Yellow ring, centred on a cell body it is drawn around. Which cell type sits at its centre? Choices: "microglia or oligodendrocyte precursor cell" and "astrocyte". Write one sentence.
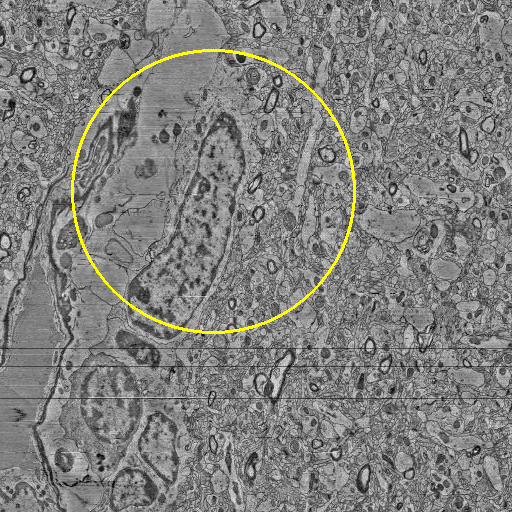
At the centre of the ring sits a microglial cell or oligodendrocyte precursor cell.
